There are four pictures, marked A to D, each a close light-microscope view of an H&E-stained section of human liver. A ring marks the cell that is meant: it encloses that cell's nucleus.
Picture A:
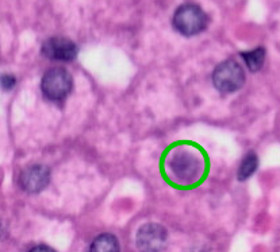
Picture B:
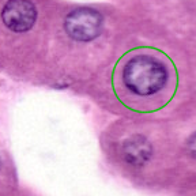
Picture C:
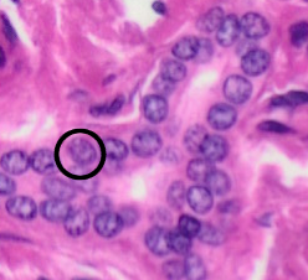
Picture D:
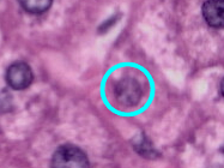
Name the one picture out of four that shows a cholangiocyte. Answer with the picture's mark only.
C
